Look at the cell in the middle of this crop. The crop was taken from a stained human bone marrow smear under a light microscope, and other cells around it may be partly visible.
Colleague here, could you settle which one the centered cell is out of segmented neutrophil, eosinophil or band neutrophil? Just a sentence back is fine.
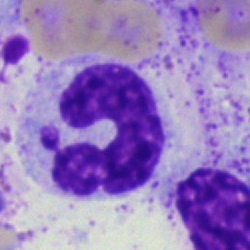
Standing at the centre of this crop is a band neutrophil.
